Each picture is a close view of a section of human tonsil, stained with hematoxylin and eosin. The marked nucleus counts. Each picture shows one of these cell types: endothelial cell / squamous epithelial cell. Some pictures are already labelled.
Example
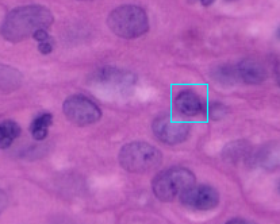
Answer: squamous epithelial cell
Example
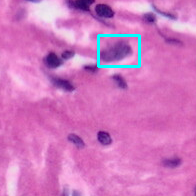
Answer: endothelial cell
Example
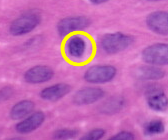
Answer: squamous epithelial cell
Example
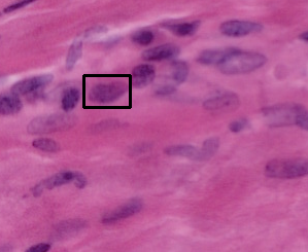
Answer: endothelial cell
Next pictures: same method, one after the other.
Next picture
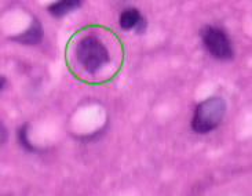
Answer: squamous epithelial cell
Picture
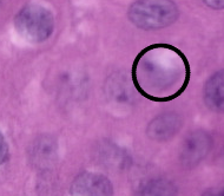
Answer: squamous epithelial cell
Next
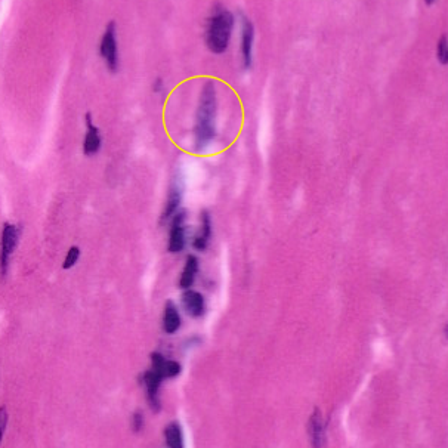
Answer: endothelial cell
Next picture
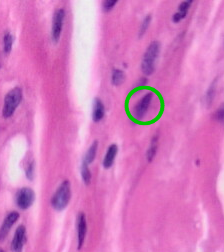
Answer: endothelial cell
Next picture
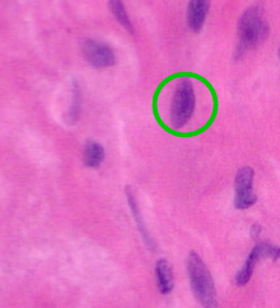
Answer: endothelial cell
